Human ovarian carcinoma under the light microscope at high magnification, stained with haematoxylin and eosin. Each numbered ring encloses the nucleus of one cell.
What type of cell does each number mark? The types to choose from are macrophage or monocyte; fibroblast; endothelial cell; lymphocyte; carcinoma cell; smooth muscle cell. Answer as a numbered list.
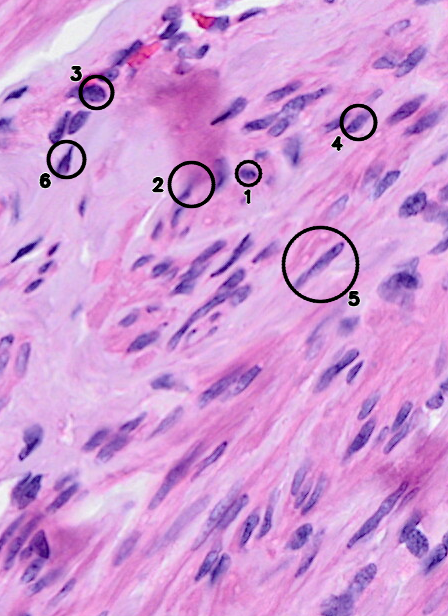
1. smooth muscle cell
2. smooth muscle cell
3. endothelial cell
4. smooth muscle cell
5. smooth muscle cell
6. fibroblast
